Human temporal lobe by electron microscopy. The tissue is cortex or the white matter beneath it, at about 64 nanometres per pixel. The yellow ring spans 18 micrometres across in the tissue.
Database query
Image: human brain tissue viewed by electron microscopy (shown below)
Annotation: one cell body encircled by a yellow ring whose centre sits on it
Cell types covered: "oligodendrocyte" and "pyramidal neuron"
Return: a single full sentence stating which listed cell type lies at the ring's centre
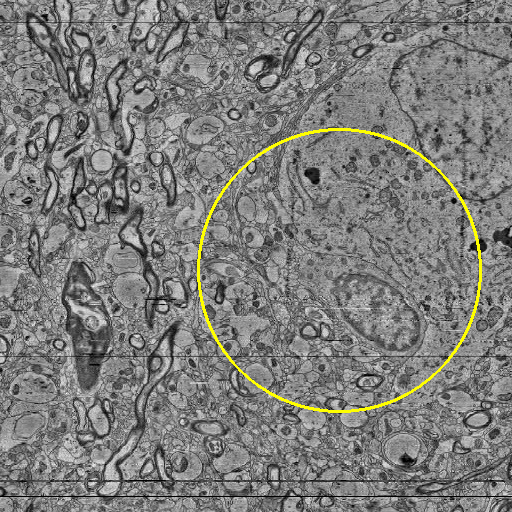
In the image, the cell lying at the ring's centre is an oligodendrocyte.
